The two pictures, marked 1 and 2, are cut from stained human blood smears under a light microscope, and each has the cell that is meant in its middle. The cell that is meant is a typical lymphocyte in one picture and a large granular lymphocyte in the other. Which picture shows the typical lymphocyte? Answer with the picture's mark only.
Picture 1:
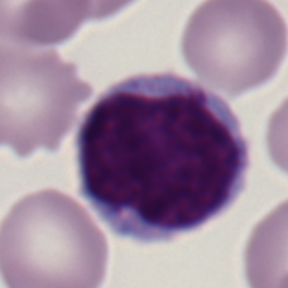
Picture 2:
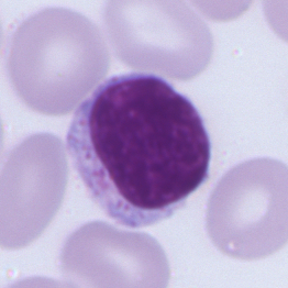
1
